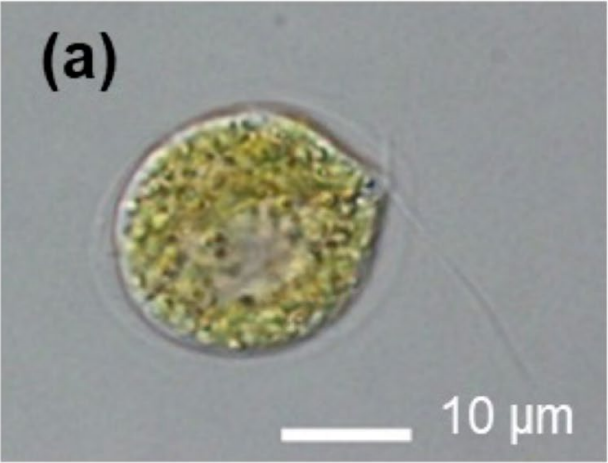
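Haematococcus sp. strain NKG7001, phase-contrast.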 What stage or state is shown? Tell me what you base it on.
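Thin threads extend from the upper right side of the cell. The oval cell is filled with granular yellow-green content. A thin clear envelope lies around the cell body.
Answer: Flagellated cell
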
